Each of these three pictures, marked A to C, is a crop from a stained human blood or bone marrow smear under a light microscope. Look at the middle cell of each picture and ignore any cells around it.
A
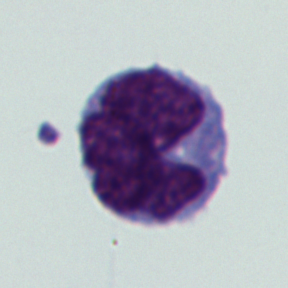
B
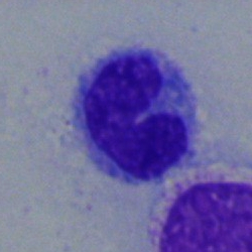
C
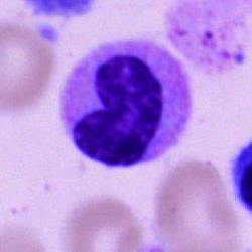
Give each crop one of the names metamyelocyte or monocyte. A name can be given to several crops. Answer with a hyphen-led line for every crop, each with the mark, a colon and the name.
- A: monocyte
- B: monocyte
- C: metamyelocyte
